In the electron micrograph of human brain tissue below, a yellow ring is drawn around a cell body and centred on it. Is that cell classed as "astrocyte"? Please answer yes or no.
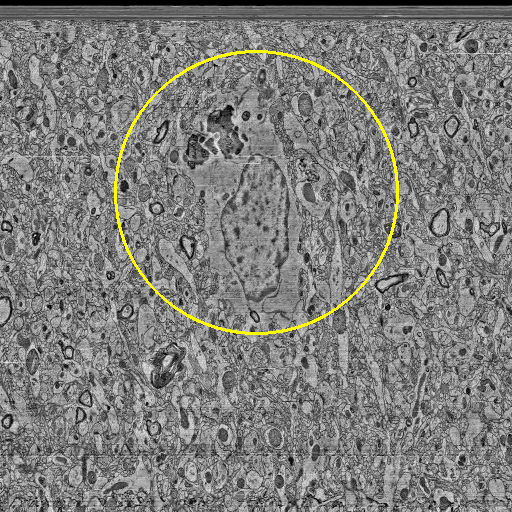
yes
